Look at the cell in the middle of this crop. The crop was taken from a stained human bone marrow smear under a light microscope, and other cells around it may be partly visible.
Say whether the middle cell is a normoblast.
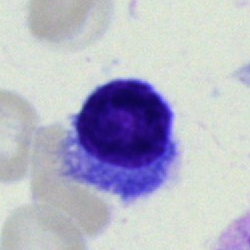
no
